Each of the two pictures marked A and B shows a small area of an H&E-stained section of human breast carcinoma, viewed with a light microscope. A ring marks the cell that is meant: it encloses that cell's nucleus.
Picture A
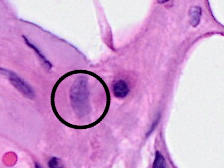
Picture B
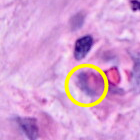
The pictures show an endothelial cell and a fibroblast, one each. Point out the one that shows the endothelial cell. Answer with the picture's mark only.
B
